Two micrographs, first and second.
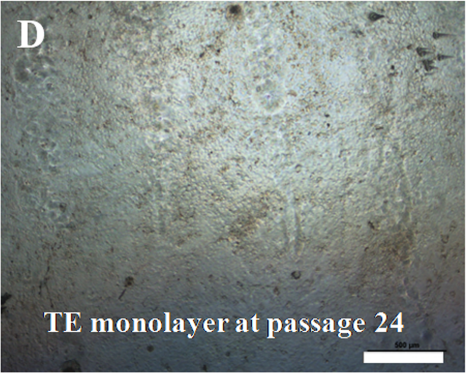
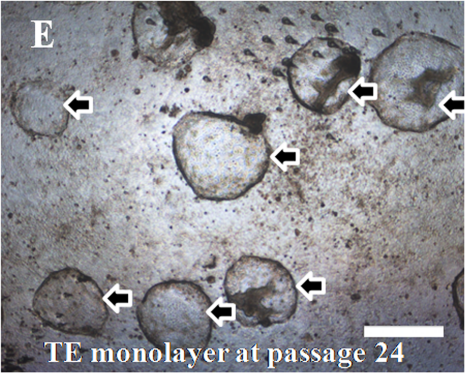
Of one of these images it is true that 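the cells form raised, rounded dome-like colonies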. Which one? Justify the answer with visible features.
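Second image: many rounded, translucent structures with sharp rims stand out from the cell sheet. First image: an even, flat sheet of cells with no raised rounded structures.
Answer: the second image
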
